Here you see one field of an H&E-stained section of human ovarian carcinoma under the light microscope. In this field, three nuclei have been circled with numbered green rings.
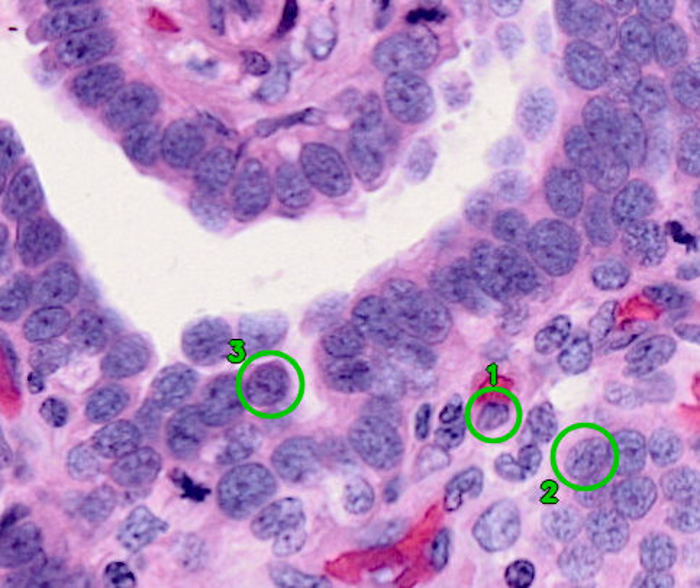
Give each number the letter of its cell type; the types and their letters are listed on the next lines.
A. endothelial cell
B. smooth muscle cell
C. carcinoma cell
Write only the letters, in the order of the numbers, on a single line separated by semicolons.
A; C; C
